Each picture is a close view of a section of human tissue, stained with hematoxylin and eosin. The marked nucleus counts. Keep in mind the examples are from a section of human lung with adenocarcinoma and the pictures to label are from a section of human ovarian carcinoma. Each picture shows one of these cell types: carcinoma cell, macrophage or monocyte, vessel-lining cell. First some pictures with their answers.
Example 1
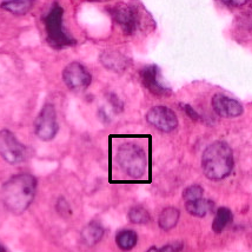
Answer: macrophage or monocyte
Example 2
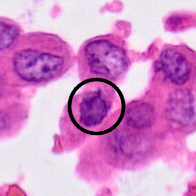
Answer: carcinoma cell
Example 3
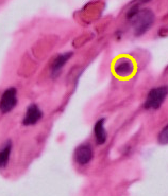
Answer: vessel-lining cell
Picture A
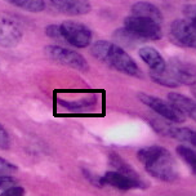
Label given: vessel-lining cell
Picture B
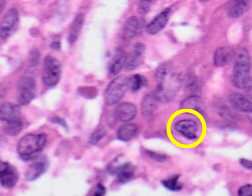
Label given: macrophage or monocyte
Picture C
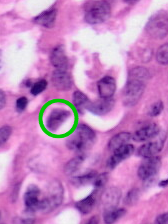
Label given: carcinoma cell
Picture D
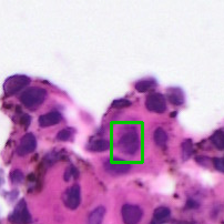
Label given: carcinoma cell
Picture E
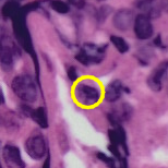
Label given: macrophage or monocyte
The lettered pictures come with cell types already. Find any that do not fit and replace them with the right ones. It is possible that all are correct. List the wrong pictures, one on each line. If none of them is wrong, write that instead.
None of the labels needs changing.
